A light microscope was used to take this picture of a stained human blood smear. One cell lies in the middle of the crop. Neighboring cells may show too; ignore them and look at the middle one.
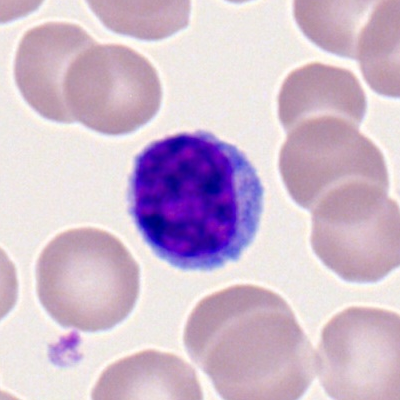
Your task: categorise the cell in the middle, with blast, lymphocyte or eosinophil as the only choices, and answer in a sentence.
This particular crop is centered on a lymphocyte.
